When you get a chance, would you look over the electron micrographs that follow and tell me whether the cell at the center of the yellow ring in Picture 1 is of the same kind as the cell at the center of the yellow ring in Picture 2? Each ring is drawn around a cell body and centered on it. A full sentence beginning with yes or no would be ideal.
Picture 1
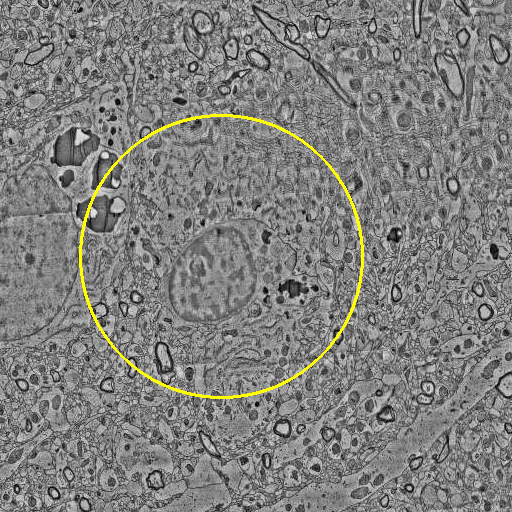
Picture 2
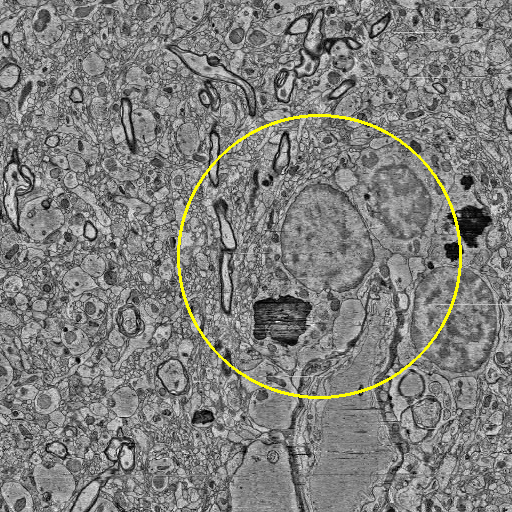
Yes, the two cells are of the same kind.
